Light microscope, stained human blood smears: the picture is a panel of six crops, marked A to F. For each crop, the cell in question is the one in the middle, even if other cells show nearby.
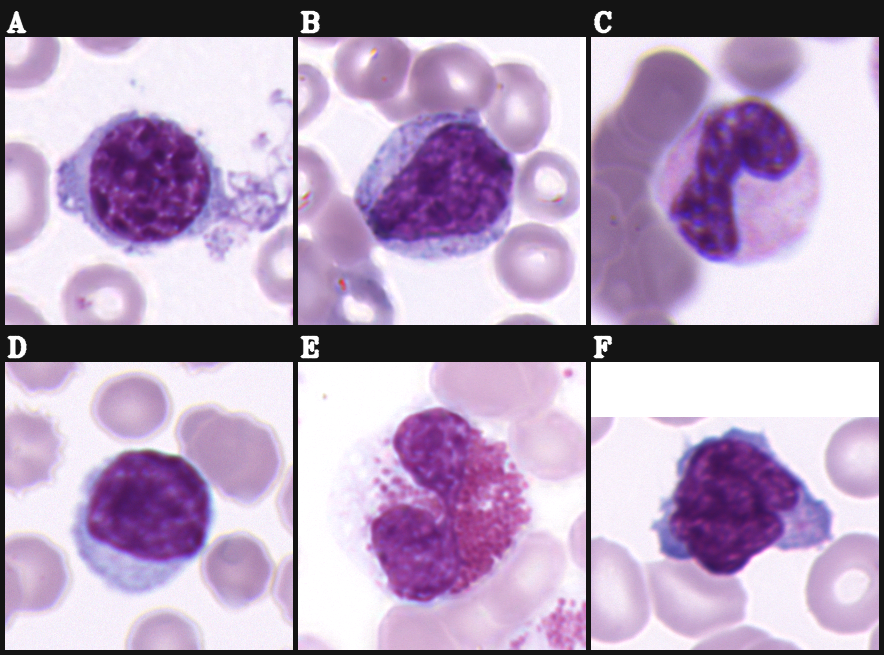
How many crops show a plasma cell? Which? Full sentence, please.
One crop alone shows a plasma cell, and that is the crop marked A.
